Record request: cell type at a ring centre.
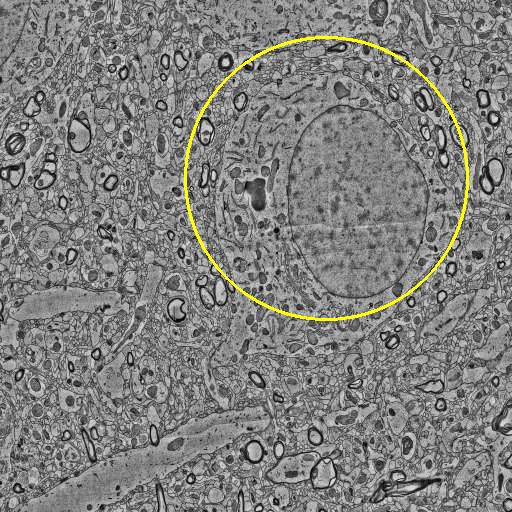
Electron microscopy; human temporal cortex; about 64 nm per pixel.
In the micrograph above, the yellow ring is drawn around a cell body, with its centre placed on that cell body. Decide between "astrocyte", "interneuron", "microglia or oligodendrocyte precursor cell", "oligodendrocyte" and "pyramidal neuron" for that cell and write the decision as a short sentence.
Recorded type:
The cell centred in the yellow ring is an interneuron.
